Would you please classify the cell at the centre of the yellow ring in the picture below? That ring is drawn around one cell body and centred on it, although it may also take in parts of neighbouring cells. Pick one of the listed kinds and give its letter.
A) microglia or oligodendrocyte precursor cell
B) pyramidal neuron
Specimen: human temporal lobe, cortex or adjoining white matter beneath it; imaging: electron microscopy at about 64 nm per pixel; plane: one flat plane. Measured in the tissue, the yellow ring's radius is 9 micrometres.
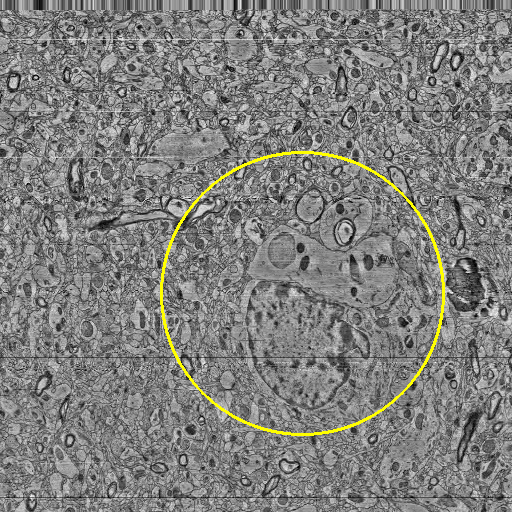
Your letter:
A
